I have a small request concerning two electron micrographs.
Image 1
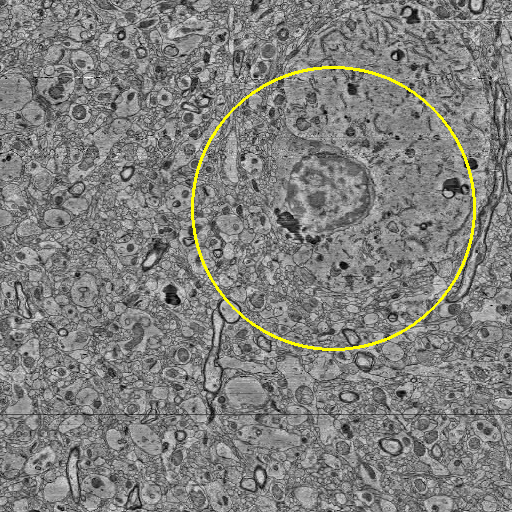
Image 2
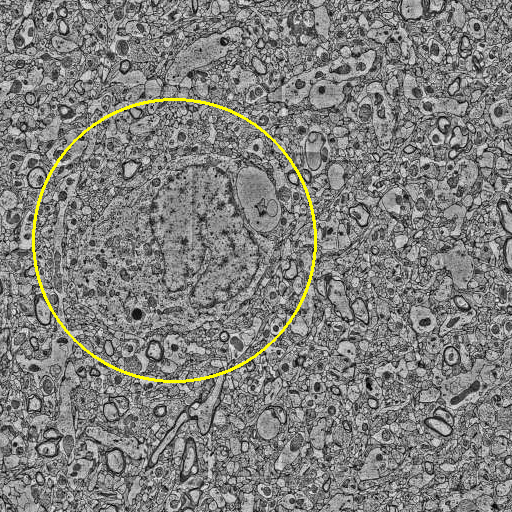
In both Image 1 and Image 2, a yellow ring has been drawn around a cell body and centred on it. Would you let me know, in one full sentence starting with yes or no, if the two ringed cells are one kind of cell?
No, the cells ringed in Image 1 and Image 2 are two kinds of cell.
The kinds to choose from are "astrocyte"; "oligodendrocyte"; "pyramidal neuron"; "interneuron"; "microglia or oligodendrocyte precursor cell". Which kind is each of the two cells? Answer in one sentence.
Of the two, the first cell is an oligodendrocyte and the second cell is an interneuron.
